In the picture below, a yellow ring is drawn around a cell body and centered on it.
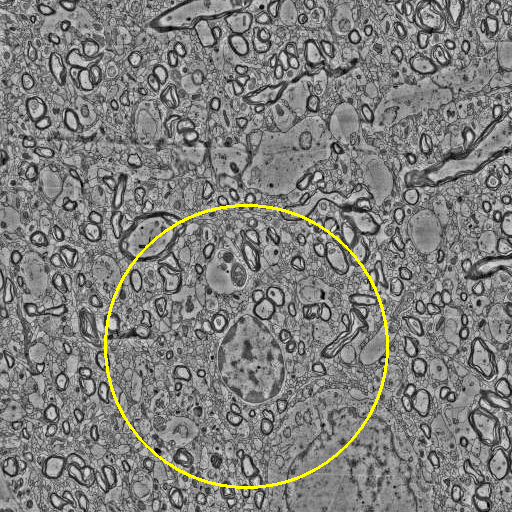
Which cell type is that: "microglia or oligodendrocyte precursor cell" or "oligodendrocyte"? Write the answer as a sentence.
The cell centered in the ring is a microglial cell or oligodendrocyte precursor cell.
